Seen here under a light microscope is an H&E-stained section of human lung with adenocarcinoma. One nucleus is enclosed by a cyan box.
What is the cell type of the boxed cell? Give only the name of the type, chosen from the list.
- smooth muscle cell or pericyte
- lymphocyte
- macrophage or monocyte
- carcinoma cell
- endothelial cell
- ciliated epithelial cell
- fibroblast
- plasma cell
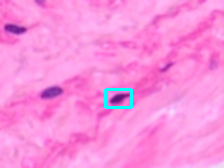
smooth muscle cell or pericyte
